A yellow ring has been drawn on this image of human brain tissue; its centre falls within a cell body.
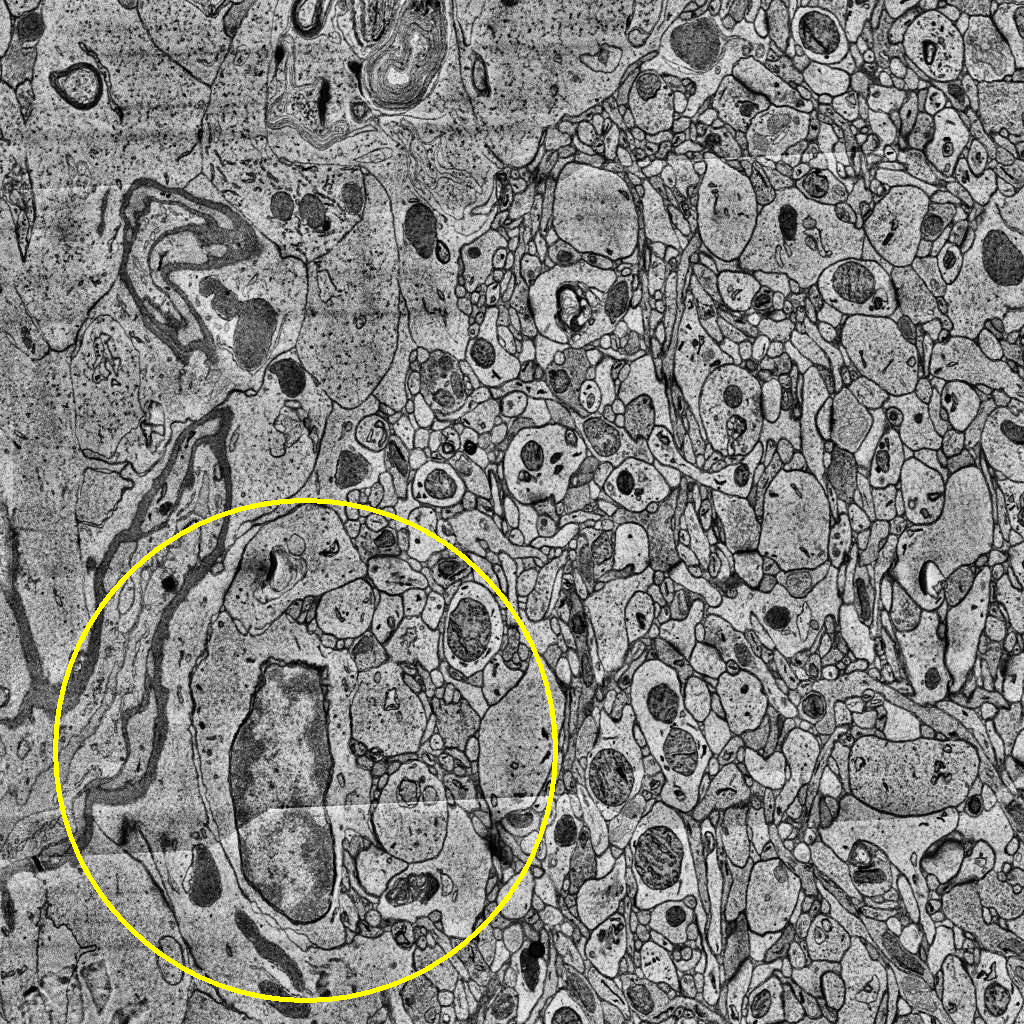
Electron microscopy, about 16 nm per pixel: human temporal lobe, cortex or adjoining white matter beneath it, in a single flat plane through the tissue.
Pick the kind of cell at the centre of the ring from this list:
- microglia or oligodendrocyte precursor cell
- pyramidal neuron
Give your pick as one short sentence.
The centre of the ring holds a microglial cell or oligodendrocyte precursor cell.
